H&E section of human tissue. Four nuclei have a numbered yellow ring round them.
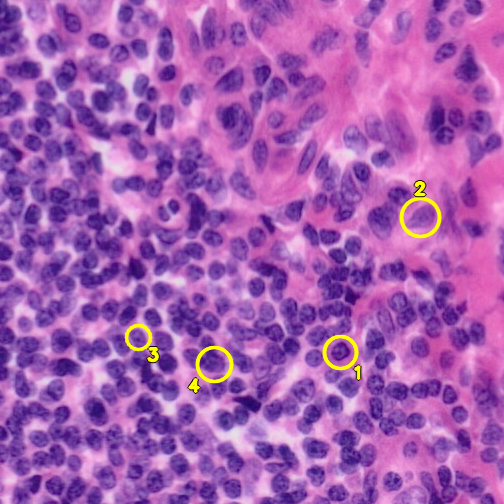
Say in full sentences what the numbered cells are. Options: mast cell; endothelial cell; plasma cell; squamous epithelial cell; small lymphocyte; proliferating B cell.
Cell 1 is a plasma cell, cell 2 is an endothelial cell, cell 3 is a small lymphocyte and cell 4 is a small lymphocyte.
